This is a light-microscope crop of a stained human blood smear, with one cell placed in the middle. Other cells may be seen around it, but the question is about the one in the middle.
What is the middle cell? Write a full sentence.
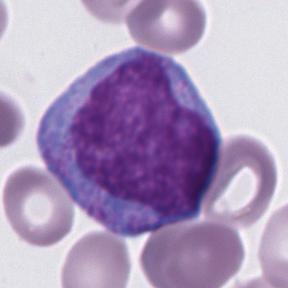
The target cell in the middle of the crop is a promyelocyte.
